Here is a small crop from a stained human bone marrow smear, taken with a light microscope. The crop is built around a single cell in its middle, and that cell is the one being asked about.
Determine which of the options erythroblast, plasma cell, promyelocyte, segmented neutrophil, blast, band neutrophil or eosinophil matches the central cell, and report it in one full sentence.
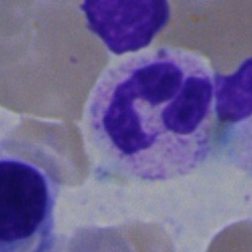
For this crop, the central cell is a segmented neutrophil.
